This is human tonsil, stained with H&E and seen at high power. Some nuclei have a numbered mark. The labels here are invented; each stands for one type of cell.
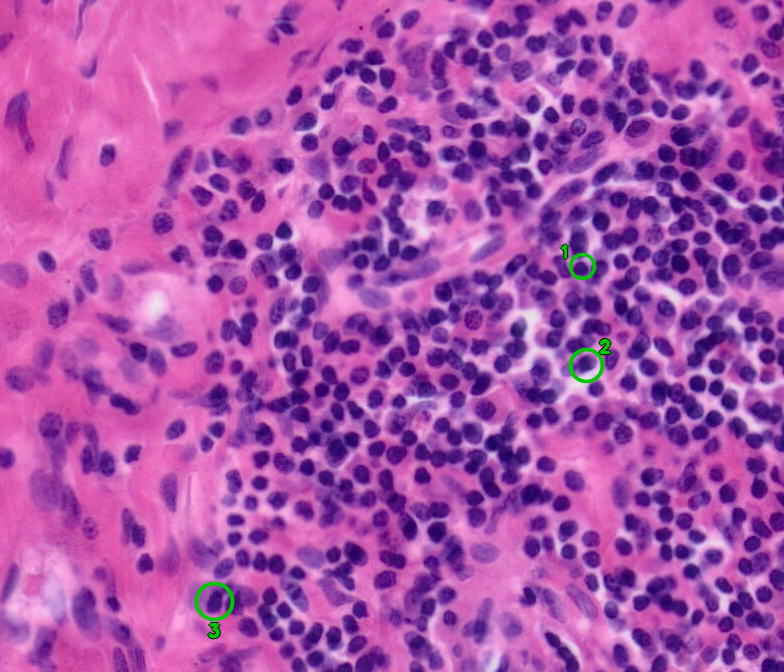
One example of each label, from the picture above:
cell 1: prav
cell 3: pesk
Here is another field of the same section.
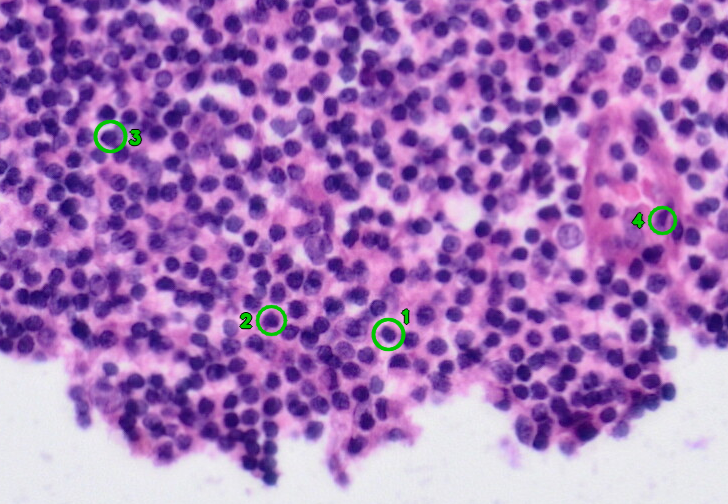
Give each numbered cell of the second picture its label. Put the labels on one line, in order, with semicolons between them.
prav; prav; prav; pesk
